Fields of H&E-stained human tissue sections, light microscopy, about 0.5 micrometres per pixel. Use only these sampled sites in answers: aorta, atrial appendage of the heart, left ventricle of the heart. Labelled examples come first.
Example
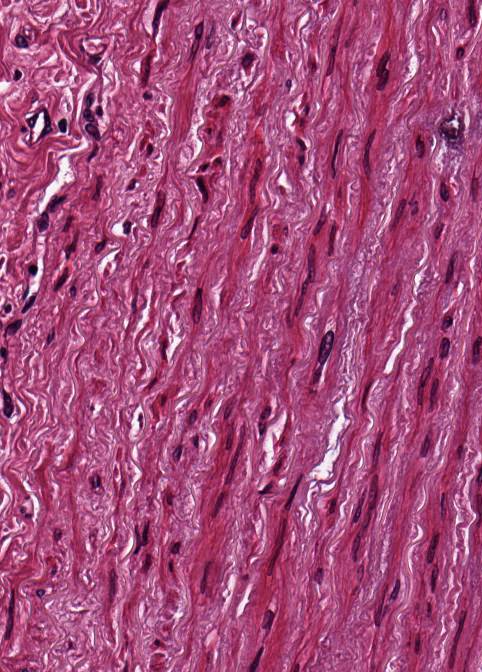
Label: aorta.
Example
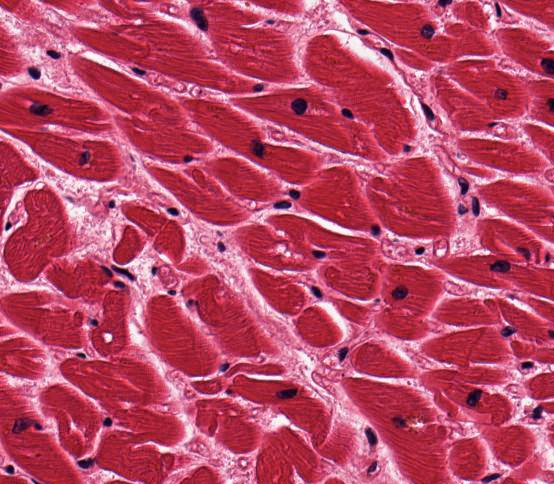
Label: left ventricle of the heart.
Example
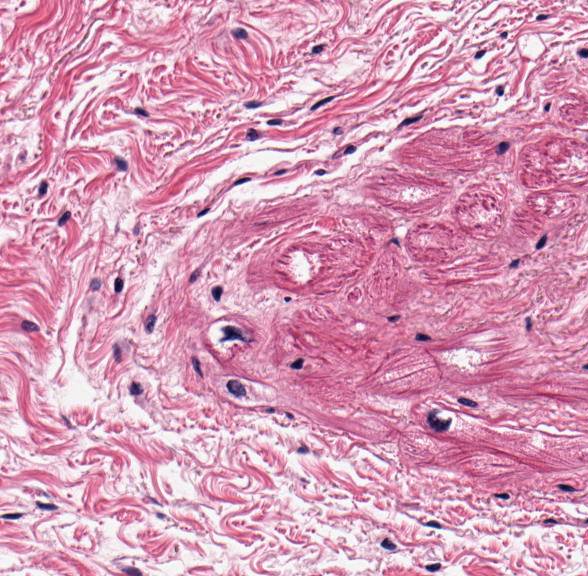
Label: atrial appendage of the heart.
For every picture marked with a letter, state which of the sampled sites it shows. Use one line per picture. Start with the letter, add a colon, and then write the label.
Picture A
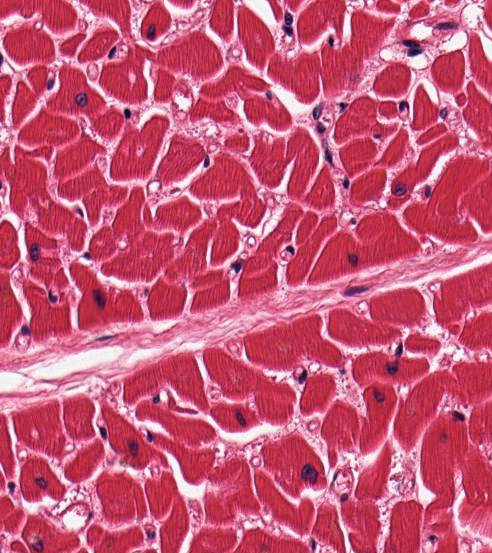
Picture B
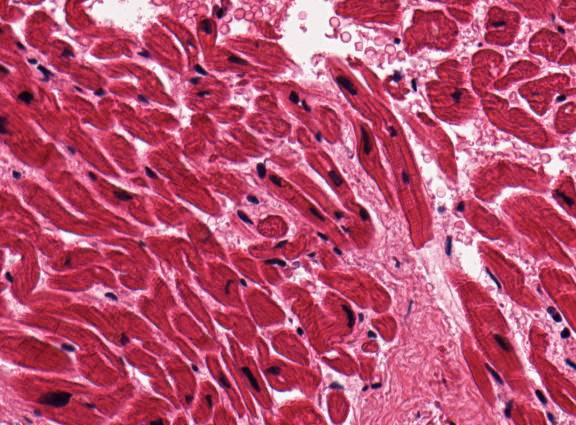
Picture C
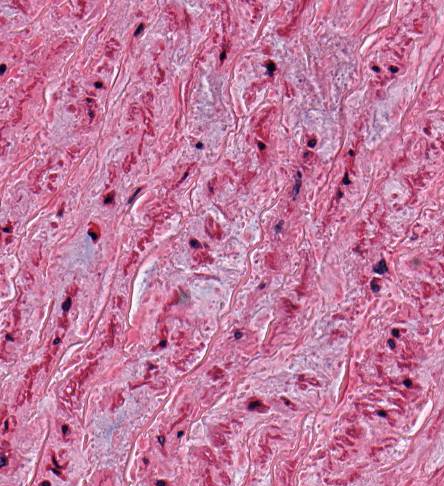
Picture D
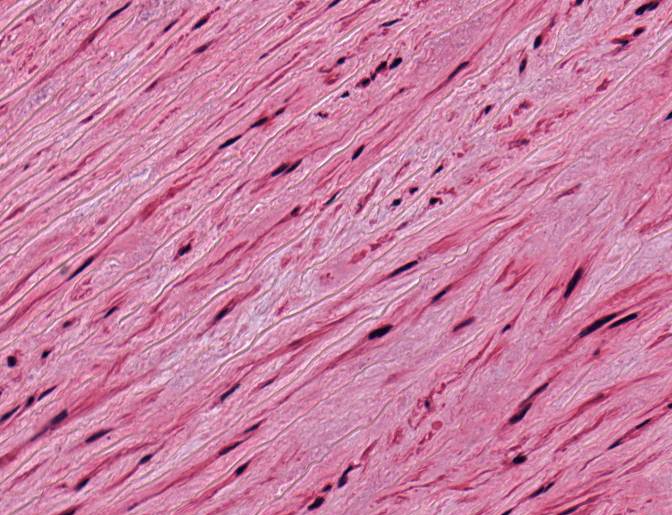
A: left ventricle of the heart.
B: left ventricle of the heart.
C: aorta.
D: aorta.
